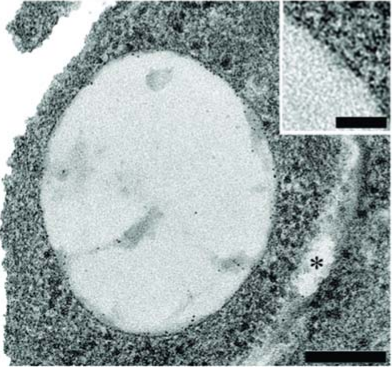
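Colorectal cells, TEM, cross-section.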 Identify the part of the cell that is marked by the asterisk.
Endoplasmic reticulum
